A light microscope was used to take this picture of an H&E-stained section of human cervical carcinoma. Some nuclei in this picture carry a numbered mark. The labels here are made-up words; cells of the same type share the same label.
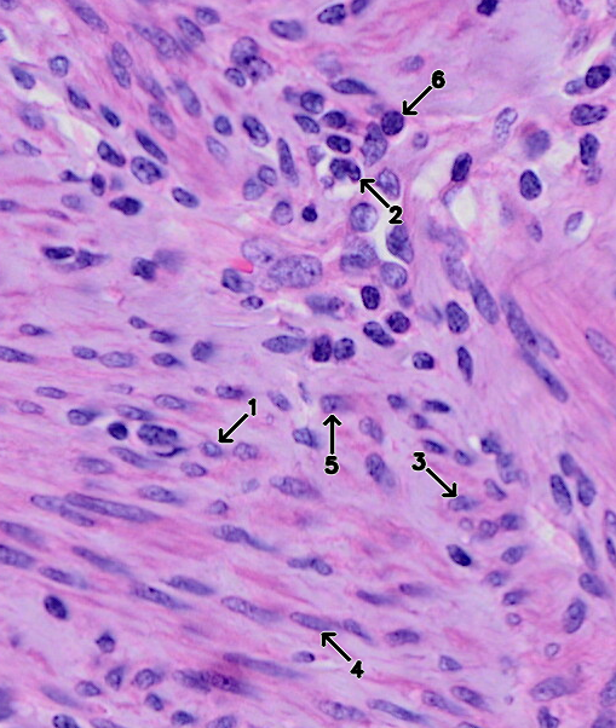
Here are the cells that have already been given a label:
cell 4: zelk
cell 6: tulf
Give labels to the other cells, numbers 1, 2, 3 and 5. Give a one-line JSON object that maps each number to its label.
{"1": "zelk", "2": "tulf", "3": "zelk", "5": "zelk"}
